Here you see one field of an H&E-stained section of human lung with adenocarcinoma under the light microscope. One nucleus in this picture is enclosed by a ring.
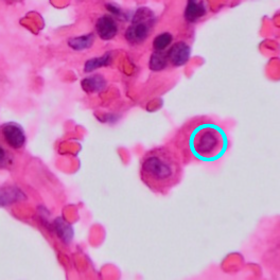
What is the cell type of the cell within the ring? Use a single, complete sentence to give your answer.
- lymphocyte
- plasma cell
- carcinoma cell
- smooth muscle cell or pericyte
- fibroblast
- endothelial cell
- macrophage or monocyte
Placed in its cell category, the cell within the ring is a macrophage or monocyte.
